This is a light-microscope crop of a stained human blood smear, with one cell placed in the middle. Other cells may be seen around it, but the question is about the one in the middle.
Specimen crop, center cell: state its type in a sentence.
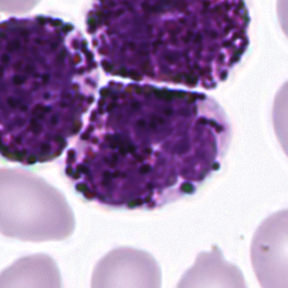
Among the cells in view, the one in the middle is a basophil.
